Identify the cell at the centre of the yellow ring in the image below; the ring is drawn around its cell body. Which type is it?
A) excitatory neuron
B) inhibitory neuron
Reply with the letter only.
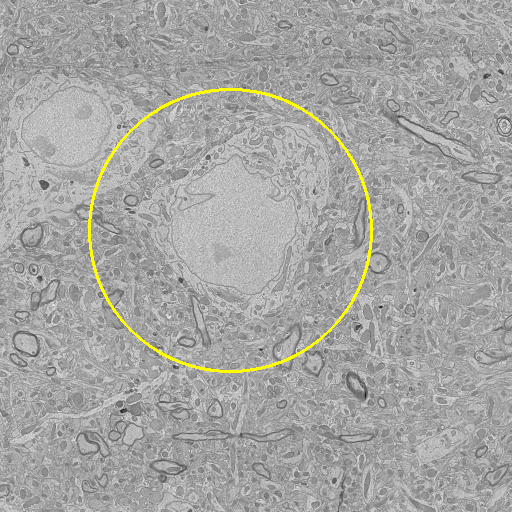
B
